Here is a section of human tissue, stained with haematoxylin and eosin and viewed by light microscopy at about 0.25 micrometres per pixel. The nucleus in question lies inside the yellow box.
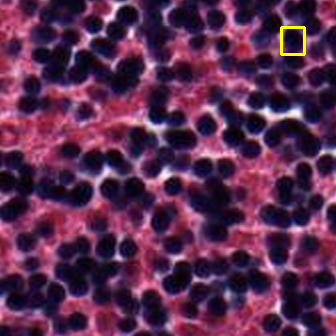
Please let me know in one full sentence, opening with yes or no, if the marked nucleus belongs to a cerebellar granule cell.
Yes, it is a cerebellar granule cell to which the marked nucleus belongs.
